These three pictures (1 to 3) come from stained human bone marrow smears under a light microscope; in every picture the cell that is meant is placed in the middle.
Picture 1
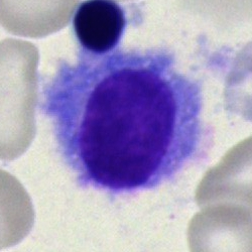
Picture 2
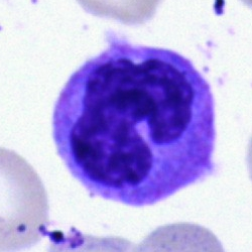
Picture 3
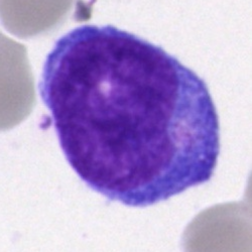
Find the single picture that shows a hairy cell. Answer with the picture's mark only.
1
